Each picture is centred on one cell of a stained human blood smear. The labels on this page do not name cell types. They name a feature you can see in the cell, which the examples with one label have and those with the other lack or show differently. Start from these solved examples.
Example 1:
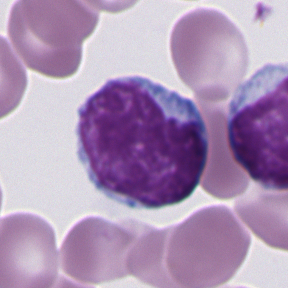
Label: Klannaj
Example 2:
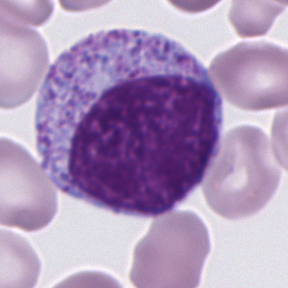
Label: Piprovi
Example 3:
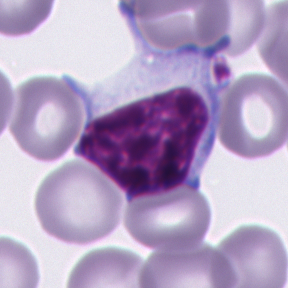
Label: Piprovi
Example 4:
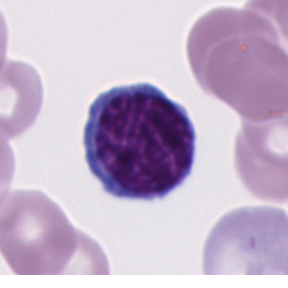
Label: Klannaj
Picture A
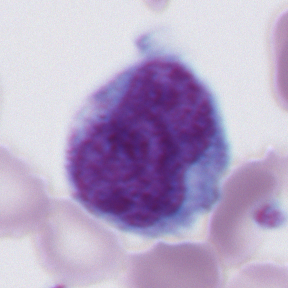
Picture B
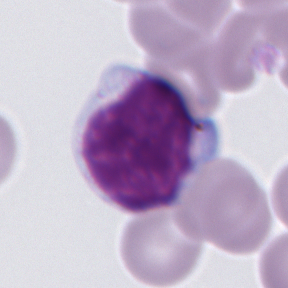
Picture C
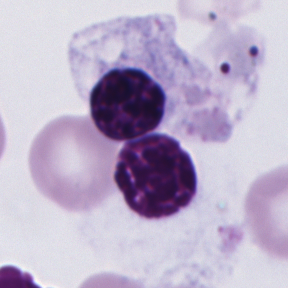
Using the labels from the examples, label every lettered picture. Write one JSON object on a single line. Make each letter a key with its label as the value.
{"A": "Klannaj", "B": "Klannaj", "C": "Piprovi"}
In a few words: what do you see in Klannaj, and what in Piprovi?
Klannaj, scant cytoplasm; Piprovi, abundant cytoplasm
